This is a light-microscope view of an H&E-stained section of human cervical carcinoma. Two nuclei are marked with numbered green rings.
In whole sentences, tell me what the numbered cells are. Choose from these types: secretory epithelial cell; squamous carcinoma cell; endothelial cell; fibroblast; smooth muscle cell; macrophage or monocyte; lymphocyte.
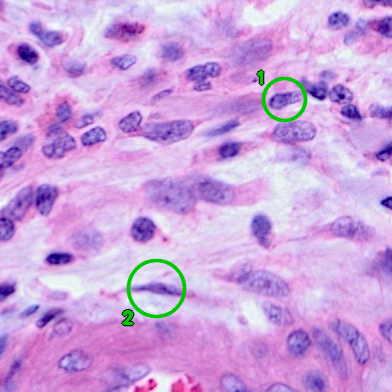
Cell 1 is a lymphocyte and cell 2 is a fibroblast.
